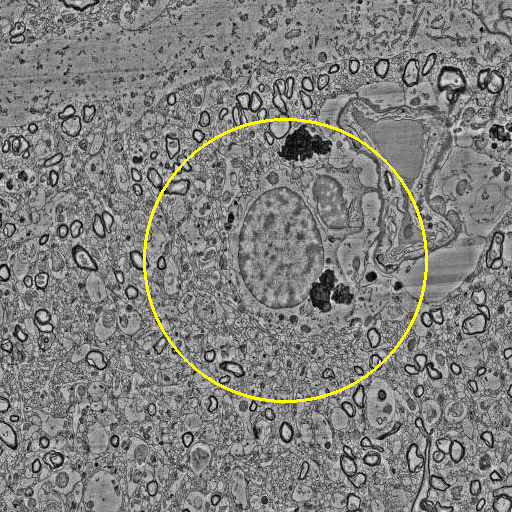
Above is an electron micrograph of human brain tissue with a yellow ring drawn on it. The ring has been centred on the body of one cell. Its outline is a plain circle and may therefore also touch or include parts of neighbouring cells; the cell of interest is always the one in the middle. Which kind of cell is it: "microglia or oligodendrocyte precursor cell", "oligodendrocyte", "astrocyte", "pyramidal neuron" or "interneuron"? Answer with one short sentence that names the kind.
The ring's central cell body is that of an oligodendrocyte.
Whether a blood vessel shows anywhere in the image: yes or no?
Yes, one appears.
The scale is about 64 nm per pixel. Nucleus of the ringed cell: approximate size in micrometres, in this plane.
About 8 by 5 micrometers, in this plane.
